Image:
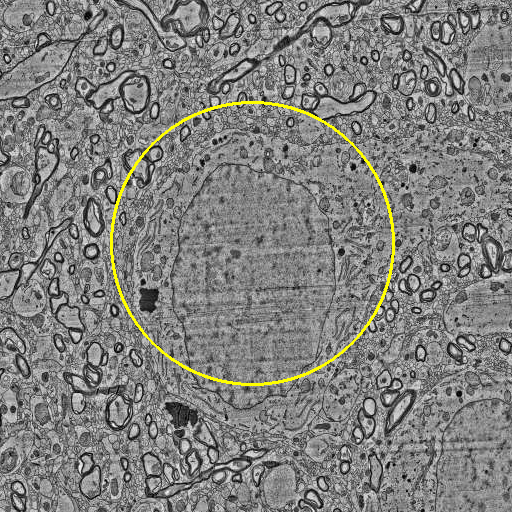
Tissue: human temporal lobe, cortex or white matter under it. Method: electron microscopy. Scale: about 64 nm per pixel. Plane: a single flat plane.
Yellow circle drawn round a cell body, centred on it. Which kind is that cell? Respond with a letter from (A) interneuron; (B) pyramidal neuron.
B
